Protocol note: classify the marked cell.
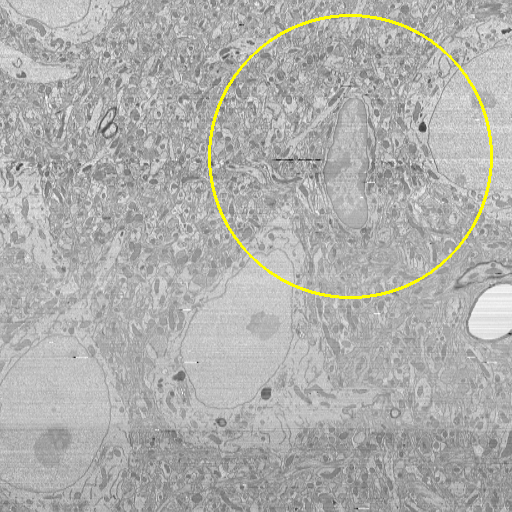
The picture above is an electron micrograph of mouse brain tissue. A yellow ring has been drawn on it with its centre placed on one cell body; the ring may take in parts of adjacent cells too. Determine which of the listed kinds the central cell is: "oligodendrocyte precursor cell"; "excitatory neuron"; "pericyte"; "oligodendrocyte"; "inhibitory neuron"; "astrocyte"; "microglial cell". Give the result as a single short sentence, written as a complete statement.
The central cell is a microglial cell.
